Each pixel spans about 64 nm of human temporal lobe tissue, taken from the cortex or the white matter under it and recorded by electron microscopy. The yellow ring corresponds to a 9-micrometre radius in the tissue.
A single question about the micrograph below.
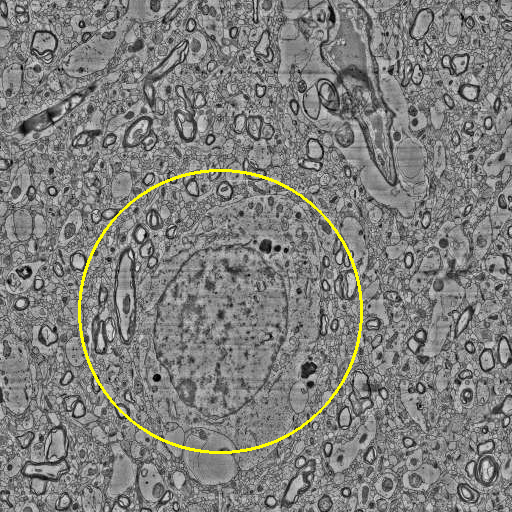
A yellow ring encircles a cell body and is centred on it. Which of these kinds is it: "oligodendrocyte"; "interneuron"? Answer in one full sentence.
The cell body at the centre of the yellow ring belongs to an interneuron.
